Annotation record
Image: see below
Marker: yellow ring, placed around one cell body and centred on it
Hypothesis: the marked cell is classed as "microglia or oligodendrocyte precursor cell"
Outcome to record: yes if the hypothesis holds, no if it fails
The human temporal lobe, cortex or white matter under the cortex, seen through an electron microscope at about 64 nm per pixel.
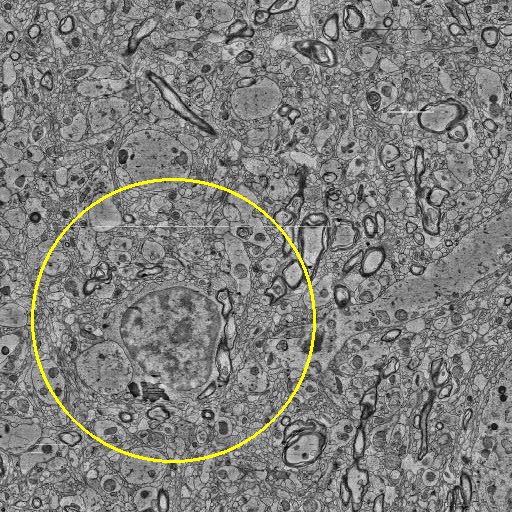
no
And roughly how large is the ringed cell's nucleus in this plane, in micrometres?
In this plane the ringed cell's nucleus is roughly 7 micrometres across.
